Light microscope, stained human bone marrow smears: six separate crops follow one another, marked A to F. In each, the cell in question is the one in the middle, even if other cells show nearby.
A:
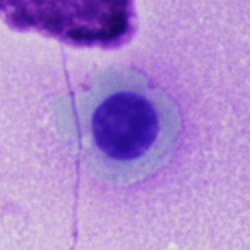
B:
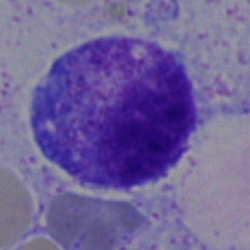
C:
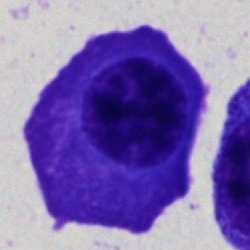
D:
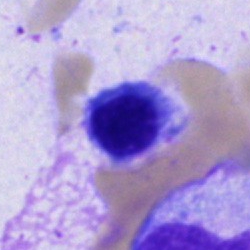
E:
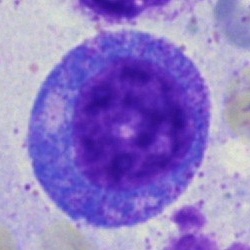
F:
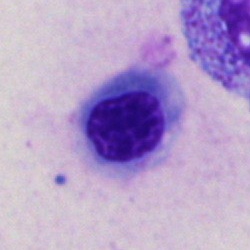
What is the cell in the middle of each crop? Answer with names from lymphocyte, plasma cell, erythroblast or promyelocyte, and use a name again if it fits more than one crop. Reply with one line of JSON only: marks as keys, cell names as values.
{"A": "erythroblast", "B": "promyelocyte", "C": "plasma cell", "D": "erythroblast", "E": "promyelocyte", "F": "erythroblast"}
